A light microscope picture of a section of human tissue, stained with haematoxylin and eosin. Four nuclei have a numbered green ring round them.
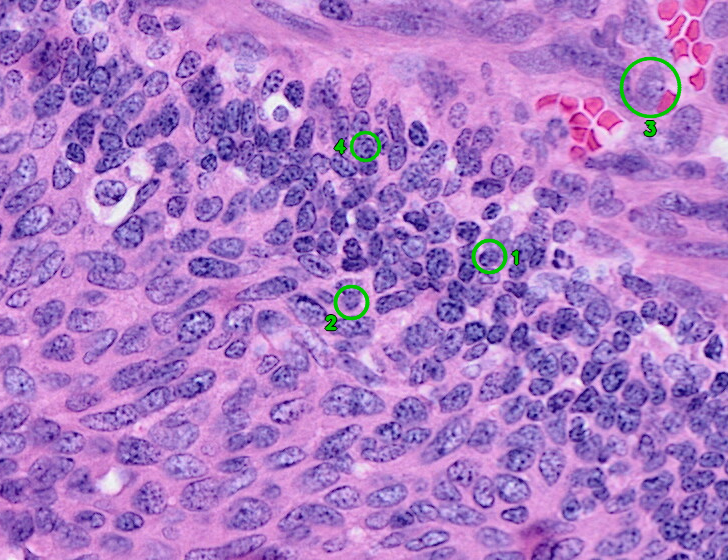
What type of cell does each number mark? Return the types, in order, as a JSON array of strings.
["squamous carcinoma cell", "squamous carcinoma cell", "endothelial cell", "squamous carcinoma cell"]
